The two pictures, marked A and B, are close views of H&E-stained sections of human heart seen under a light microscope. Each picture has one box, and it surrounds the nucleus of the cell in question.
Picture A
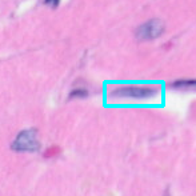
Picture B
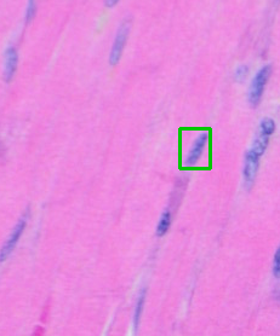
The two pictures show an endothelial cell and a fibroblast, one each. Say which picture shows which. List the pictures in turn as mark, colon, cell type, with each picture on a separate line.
A: endothelial cell
B: fibroblast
